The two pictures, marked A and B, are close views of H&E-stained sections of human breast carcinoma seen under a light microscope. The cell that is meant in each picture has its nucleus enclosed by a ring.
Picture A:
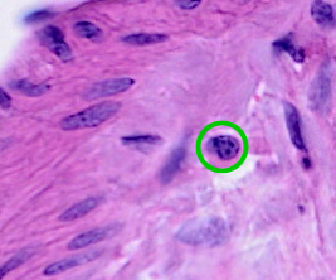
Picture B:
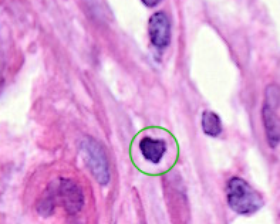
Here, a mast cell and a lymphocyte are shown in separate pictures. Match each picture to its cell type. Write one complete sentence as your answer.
Picture B shows a lymphocyte, while picture A shows a mast cell.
